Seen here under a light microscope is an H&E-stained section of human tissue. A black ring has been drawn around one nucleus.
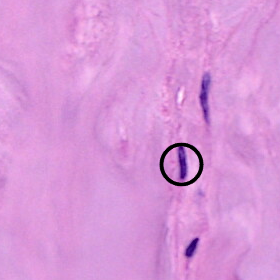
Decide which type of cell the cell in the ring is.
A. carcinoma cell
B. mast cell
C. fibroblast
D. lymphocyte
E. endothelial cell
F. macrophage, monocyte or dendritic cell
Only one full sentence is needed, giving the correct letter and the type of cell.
Option C is the correct one, since the cell in the ring is a fibroblast.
